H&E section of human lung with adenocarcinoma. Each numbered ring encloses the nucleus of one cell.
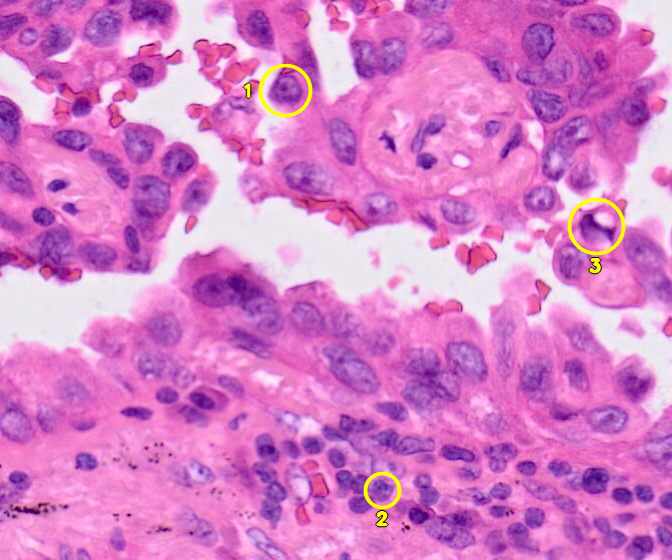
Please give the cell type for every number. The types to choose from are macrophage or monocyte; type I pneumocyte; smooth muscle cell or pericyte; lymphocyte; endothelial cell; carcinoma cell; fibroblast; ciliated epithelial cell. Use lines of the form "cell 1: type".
cell 1: carcinoma cell
cell 2: lymphocyte
cell 3: carcinoma cell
